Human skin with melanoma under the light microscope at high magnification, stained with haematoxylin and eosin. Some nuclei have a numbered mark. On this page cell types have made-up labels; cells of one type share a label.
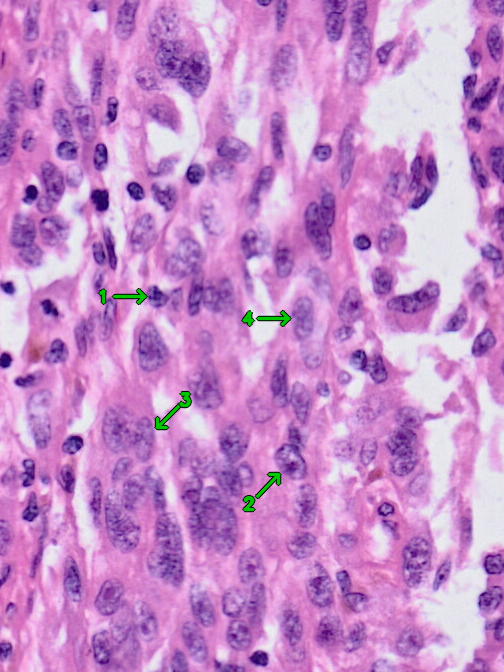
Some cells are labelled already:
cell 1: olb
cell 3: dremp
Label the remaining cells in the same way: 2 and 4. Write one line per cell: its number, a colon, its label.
2: dremp
4: dremp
